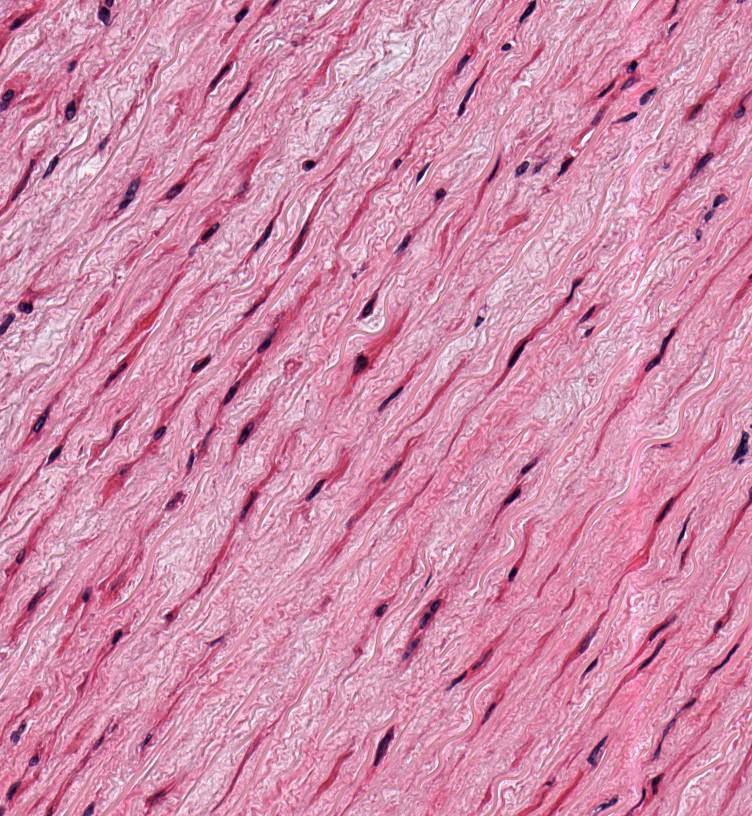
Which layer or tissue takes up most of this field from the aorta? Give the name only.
tunica media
